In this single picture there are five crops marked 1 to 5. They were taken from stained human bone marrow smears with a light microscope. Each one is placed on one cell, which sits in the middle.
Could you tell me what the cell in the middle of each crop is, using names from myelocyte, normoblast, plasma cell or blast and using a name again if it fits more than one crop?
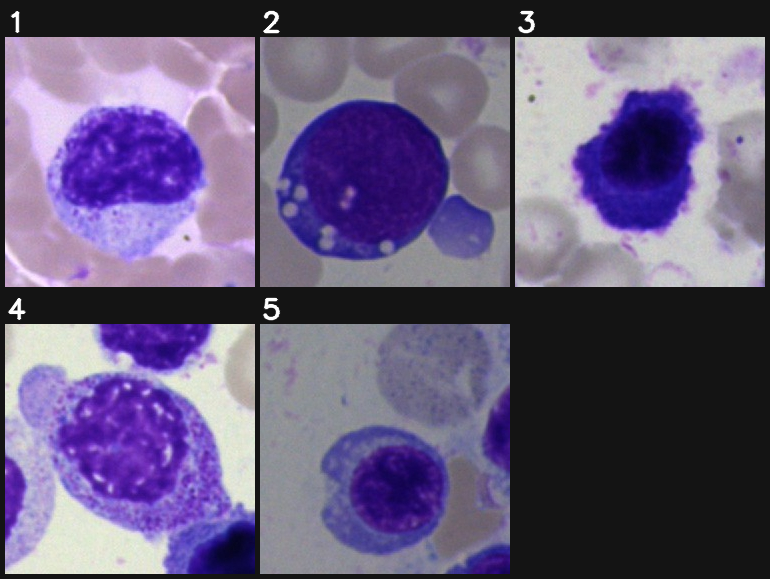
1: myelocyte
2: blast
3: plasma cell
4: myelocyte
5: normoblast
